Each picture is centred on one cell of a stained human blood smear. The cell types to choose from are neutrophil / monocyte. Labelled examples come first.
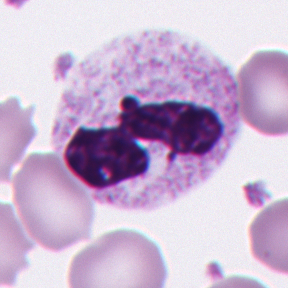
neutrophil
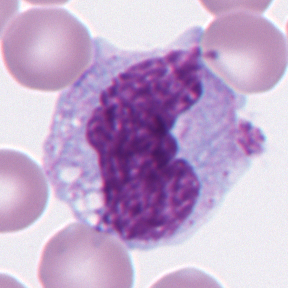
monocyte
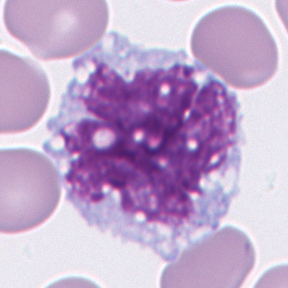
monocyte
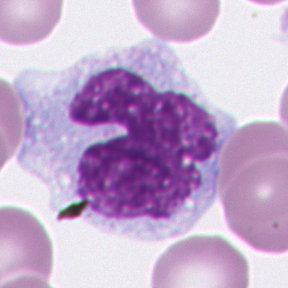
monocyte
